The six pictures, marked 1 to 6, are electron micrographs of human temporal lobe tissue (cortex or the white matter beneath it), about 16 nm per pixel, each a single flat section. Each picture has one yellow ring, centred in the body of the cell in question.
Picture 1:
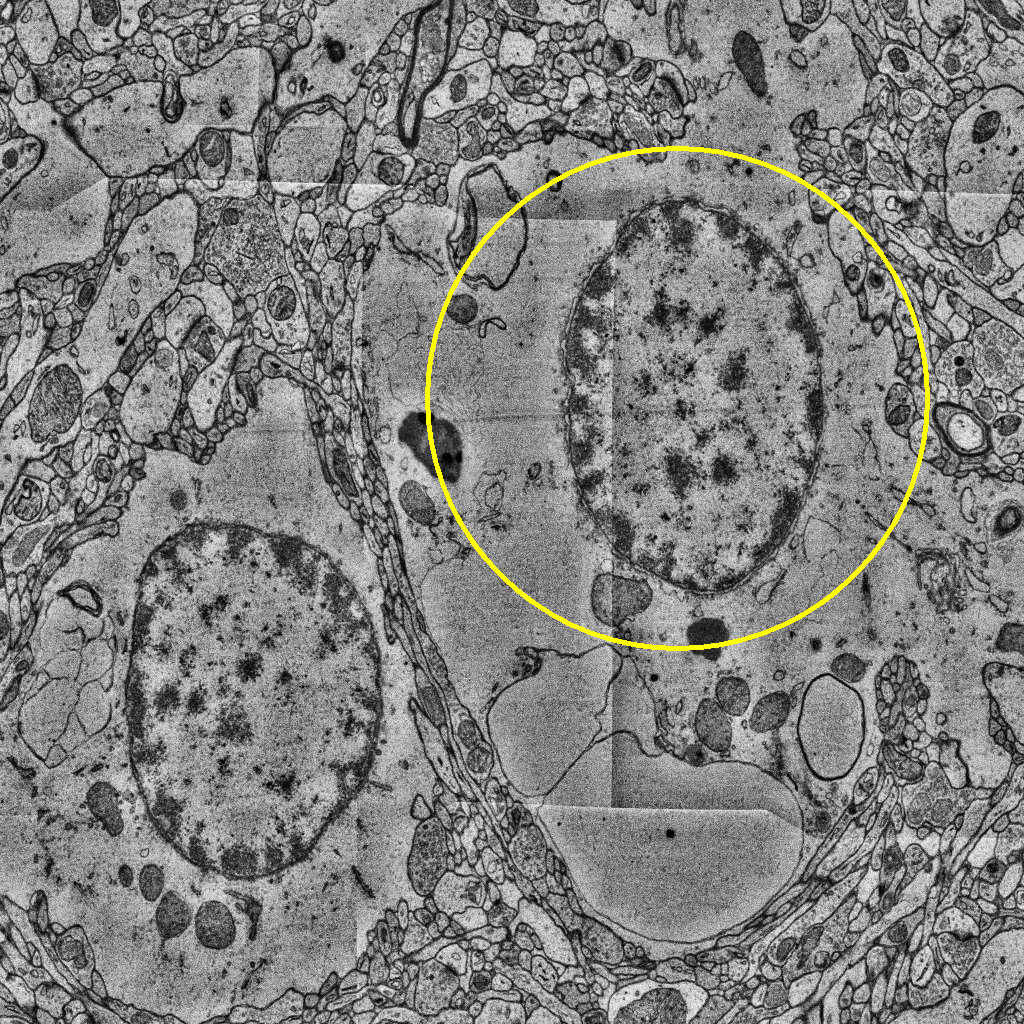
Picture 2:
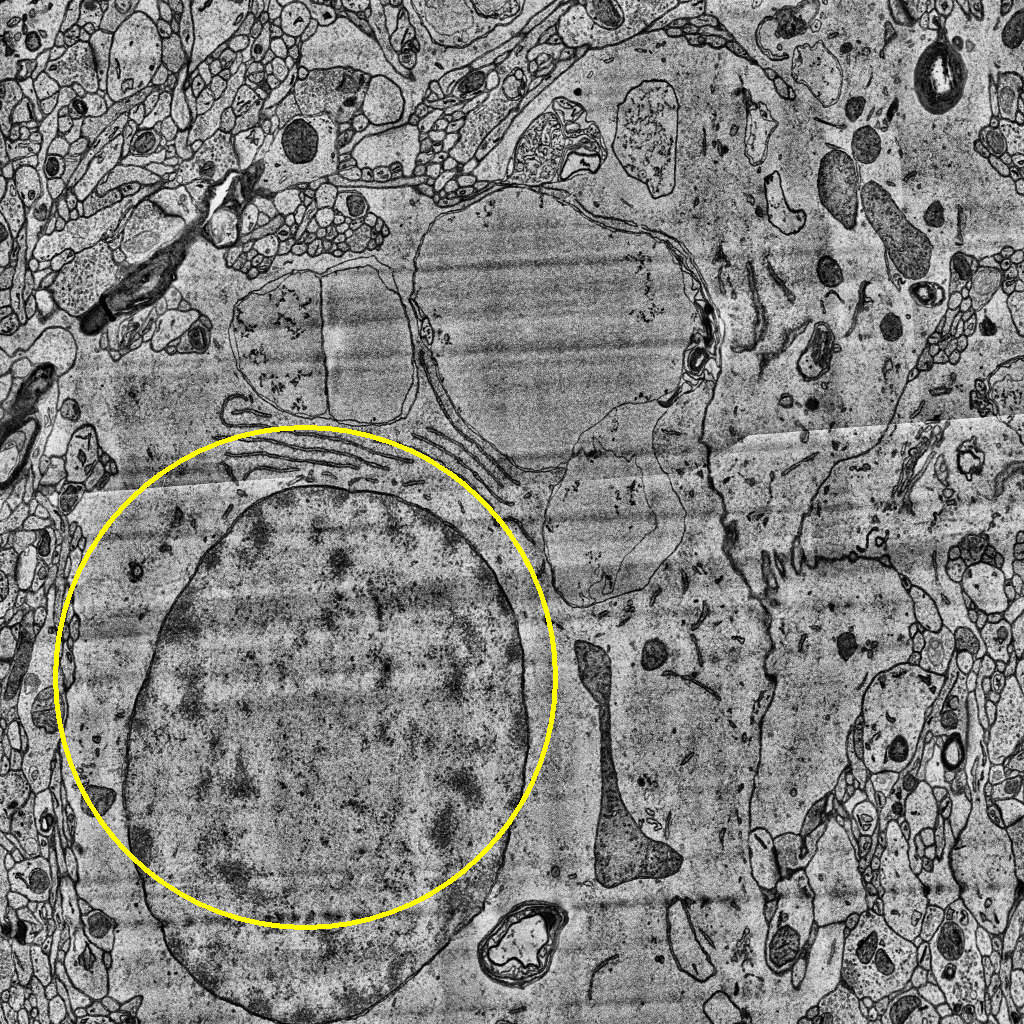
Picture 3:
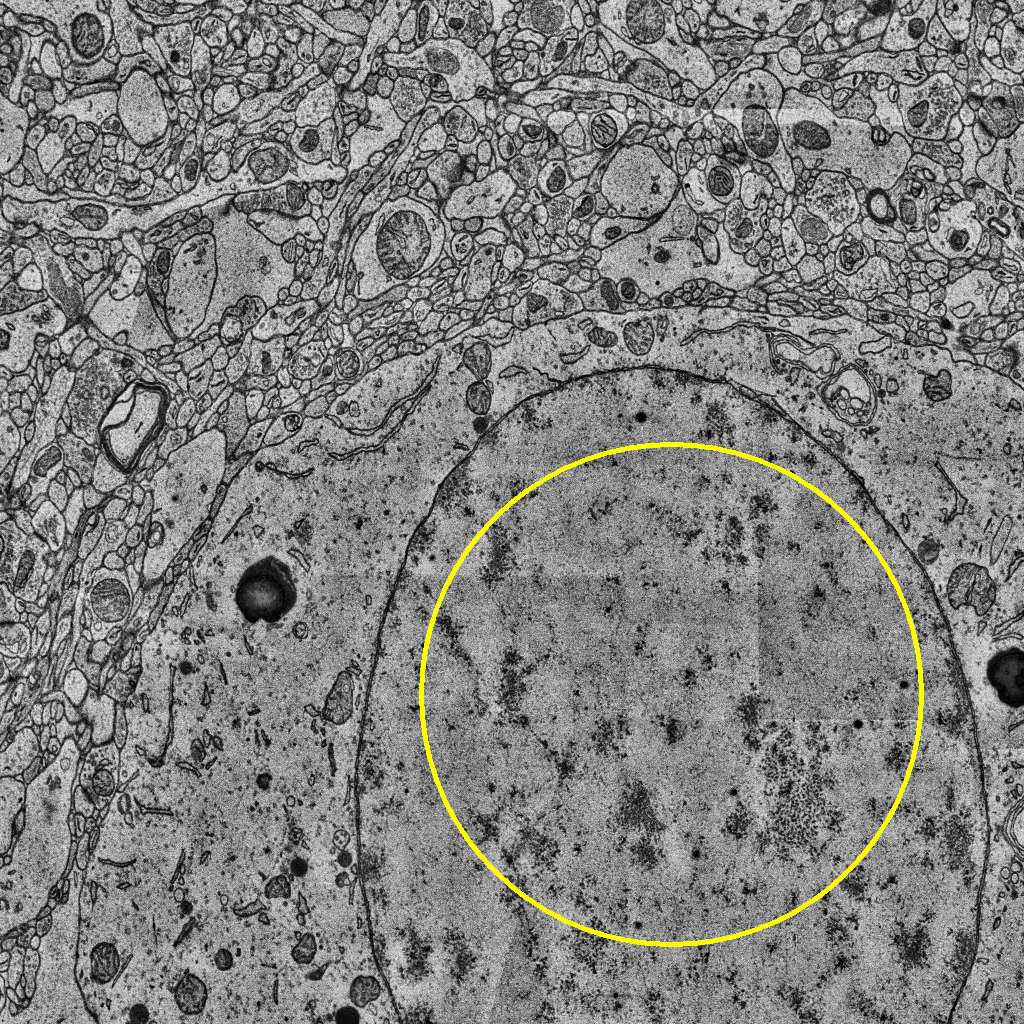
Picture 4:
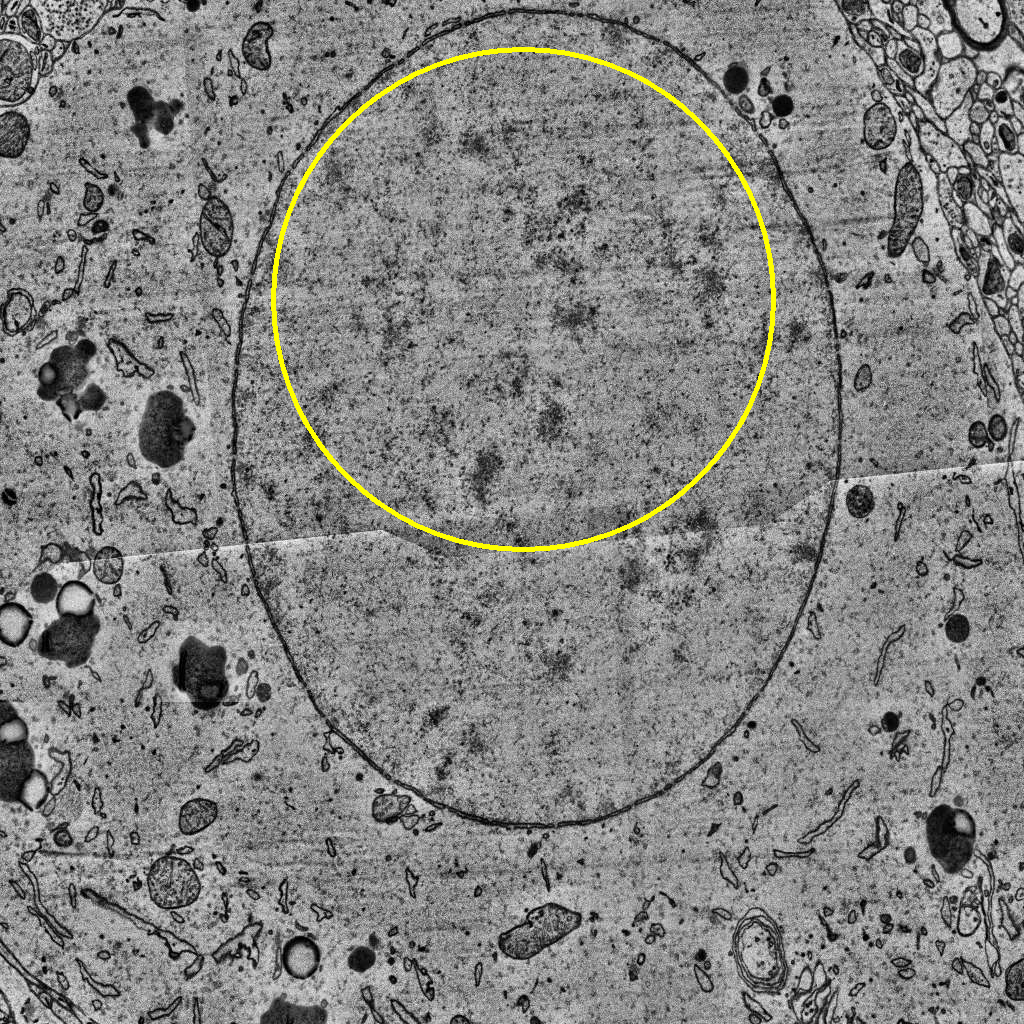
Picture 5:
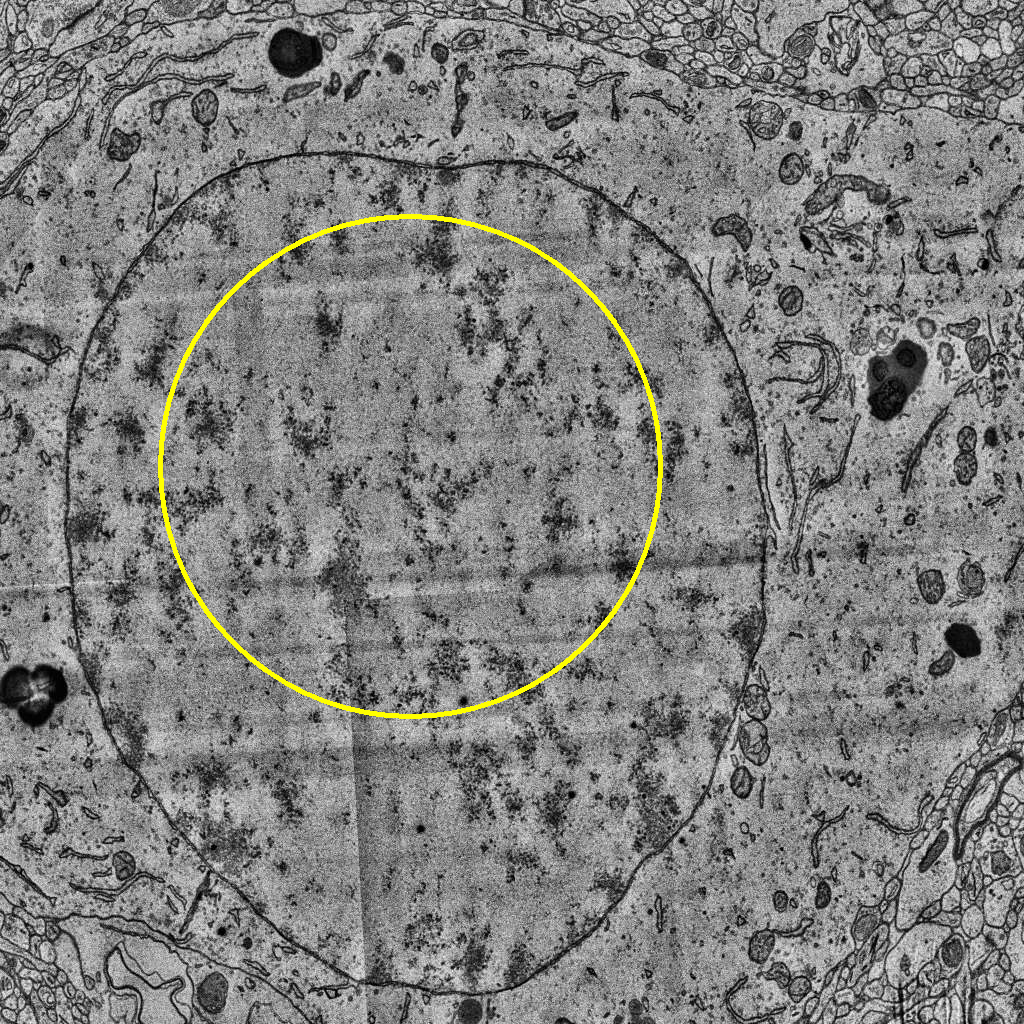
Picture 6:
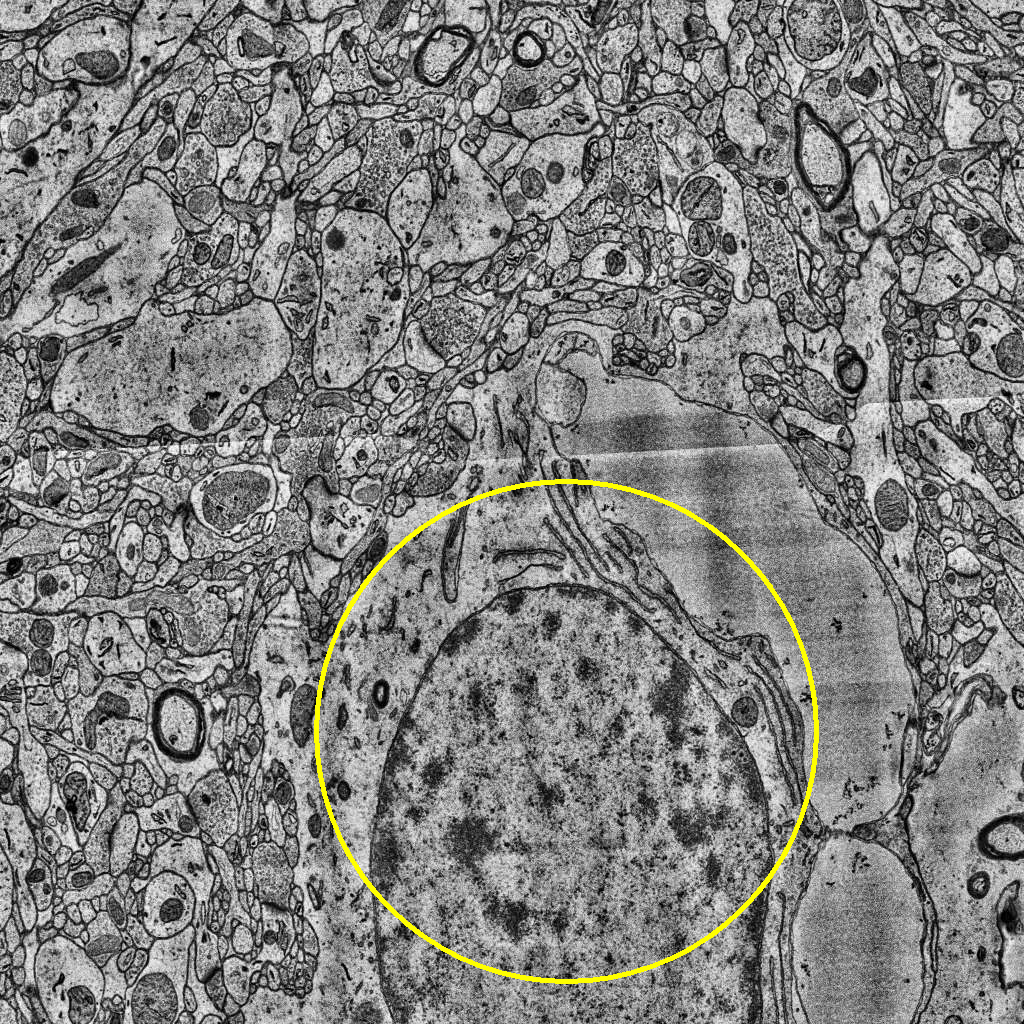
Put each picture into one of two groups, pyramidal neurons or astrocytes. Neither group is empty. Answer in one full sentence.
Pictures 3, 4 and 5 show pyramidal neurons; pictures 1, 2 and 6 show astrocytes.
